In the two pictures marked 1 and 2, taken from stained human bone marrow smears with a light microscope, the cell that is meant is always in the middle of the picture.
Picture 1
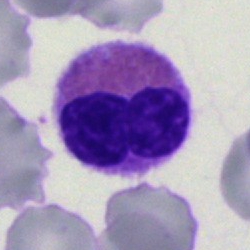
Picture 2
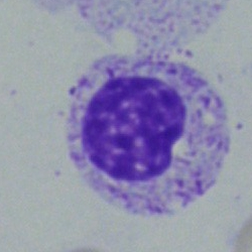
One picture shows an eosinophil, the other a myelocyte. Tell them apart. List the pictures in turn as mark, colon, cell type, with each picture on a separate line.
1: eosinophil
2: myelocyte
